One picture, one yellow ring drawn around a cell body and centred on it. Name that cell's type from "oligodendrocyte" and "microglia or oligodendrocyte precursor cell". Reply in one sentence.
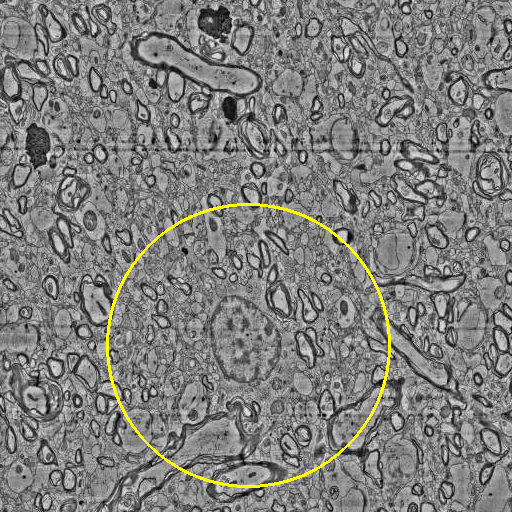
Centred in the ring is an oligodendrocyte.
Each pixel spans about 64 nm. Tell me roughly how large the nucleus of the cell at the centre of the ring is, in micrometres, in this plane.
Approximately 6 micrometres long and 4 micrometres wide, in this plane.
